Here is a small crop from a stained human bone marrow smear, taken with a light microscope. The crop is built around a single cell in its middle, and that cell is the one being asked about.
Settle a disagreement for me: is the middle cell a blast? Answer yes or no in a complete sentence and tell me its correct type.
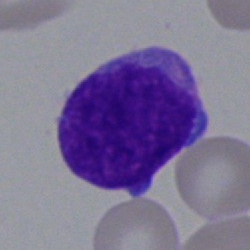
Yes, shown in the middle of the crop is a blast.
